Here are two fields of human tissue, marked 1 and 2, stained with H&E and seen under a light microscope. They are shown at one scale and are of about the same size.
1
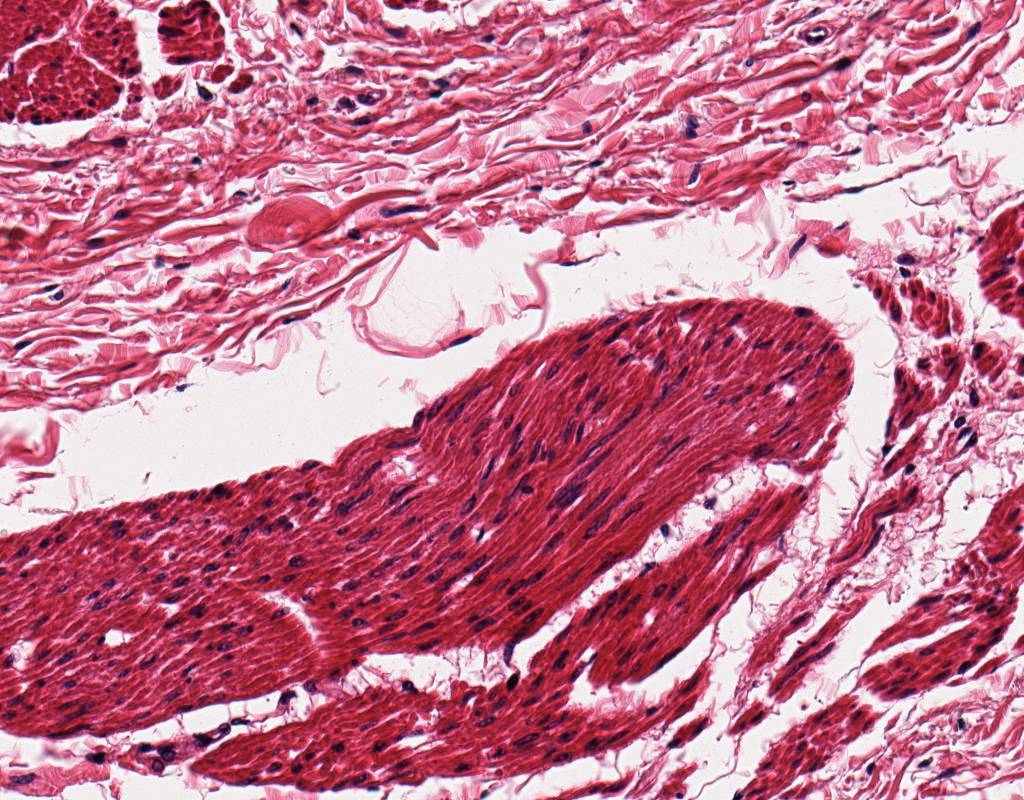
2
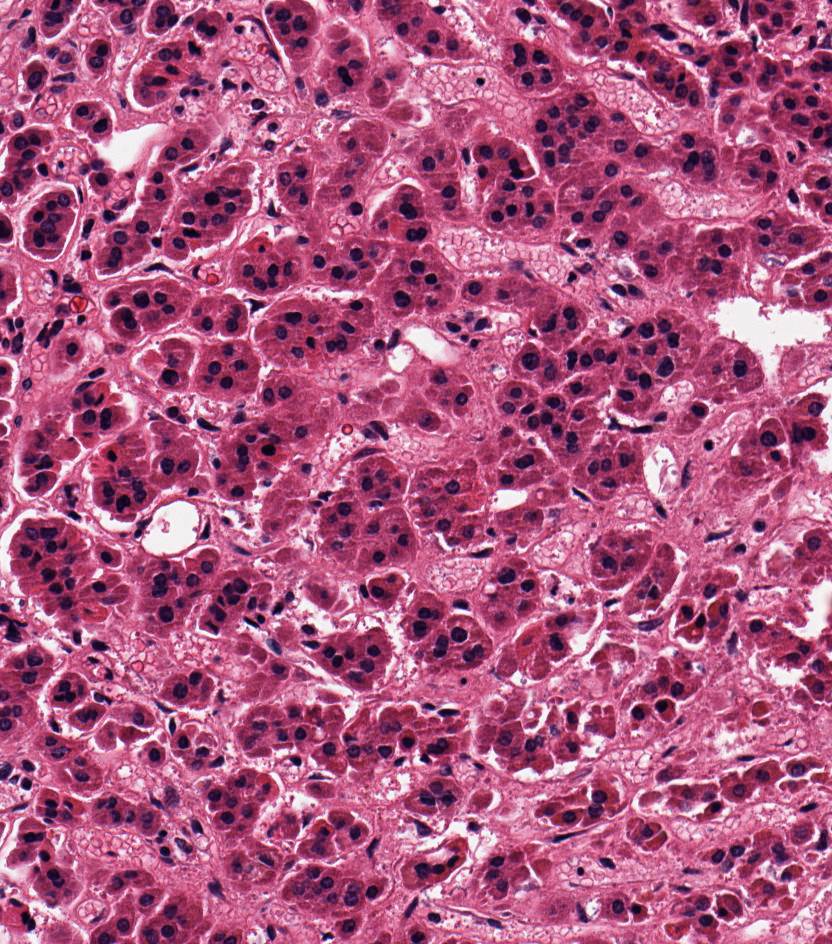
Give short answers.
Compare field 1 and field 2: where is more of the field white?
1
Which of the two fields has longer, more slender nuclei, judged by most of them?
1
